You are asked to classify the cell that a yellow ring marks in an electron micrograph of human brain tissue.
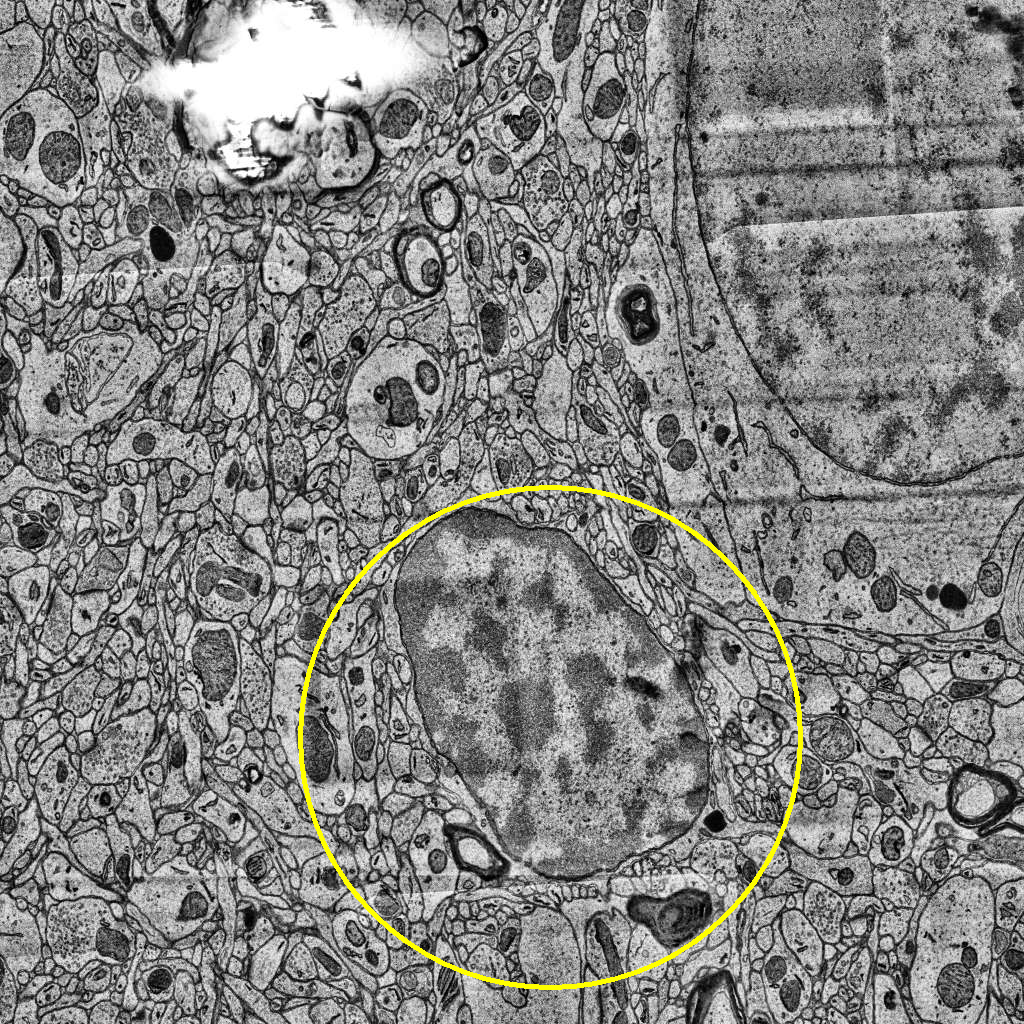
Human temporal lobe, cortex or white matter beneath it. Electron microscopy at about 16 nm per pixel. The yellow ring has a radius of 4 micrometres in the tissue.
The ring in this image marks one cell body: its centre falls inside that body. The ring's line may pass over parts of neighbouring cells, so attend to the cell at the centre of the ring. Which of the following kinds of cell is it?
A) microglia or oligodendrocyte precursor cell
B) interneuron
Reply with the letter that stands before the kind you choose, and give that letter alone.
A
